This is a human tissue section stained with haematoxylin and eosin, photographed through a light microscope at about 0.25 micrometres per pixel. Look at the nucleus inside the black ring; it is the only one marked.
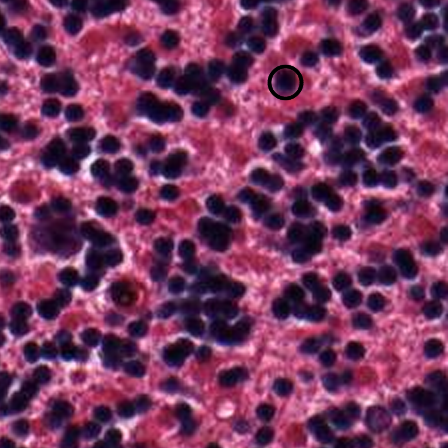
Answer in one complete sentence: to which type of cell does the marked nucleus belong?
The marked nucleus is identified as belonging to a cerebellar granule cell.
